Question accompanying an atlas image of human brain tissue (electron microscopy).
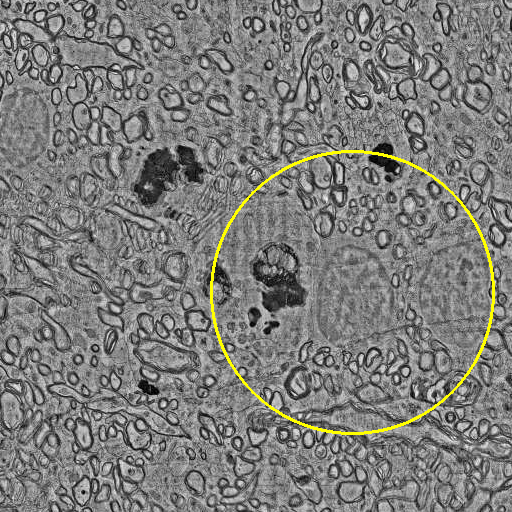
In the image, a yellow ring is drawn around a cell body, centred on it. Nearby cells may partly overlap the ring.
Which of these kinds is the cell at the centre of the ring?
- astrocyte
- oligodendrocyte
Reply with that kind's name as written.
oligodendrocyte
